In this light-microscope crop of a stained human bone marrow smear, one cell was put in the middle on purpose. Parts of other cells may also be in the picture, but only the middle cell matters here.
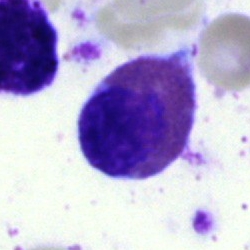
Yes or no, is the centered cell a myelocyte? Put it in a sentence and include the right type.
No, not a myelocyte but an eosinophil is the cell in the centre.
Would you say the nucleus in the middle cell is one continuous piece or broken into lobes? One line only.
Just one compact nuclear mass here, round, oval or kidney-shaped.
